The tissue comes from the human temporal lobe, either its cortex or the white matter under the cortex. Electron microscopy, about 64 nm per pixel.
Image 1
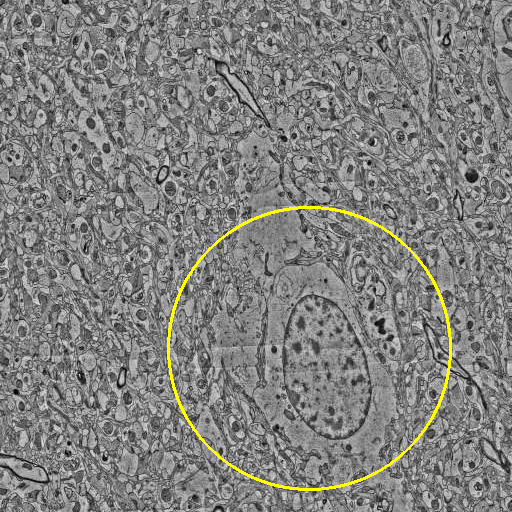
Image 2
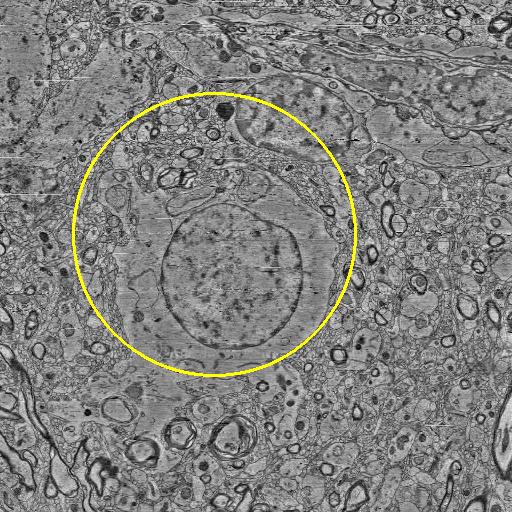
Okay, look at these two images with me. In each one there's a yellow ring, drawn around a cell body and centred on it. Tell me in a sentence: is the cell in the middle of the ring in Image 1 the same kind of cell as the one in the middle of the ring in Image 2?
Yes, they're the same kind of cell.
